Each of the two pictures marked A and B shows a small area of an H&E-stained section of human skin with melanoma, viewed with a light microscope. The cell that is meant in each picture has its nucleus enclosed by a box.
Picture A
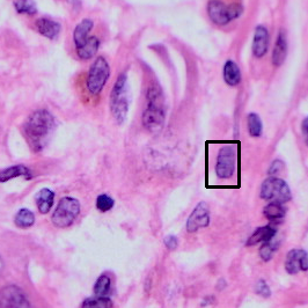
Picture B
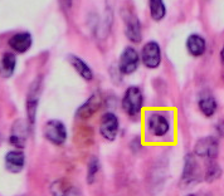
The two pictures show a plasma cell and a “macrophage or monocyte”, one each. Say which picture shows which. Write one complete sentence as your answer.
It is picture A that shows a “macrophage or monocyte”, and picture B that shows a plasma cell.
